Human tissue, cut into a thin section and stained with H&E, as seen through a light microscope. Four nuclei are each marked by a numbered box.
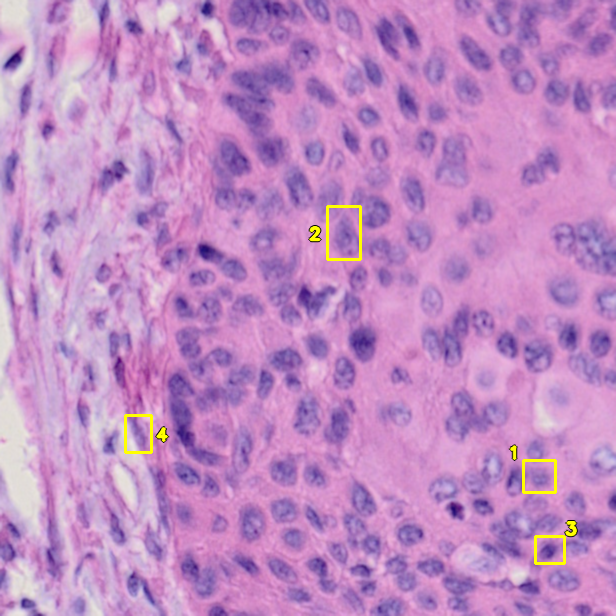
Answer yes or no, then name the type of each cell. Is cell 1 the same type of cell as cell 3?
Yes, both are squamous carcinoma cells.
